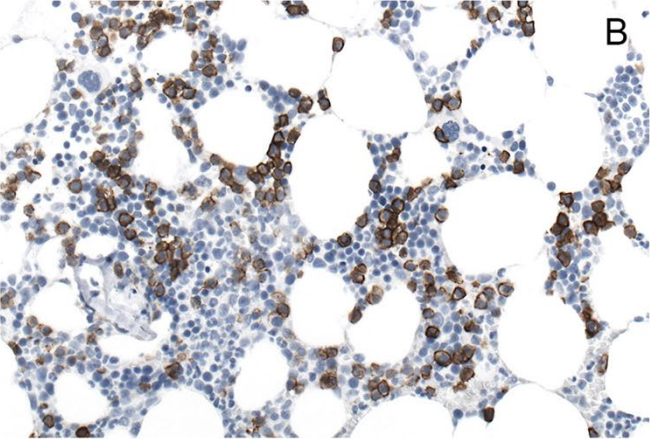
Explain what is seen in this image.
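Bone marrow with many rounded fat spaces contains scattered round cells whose outlines are ringed by brown membrane staining, lying singly and in small loose groups between the fat spaces. The remaining hematopoietic cells have blue nuclei and are unstained.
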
